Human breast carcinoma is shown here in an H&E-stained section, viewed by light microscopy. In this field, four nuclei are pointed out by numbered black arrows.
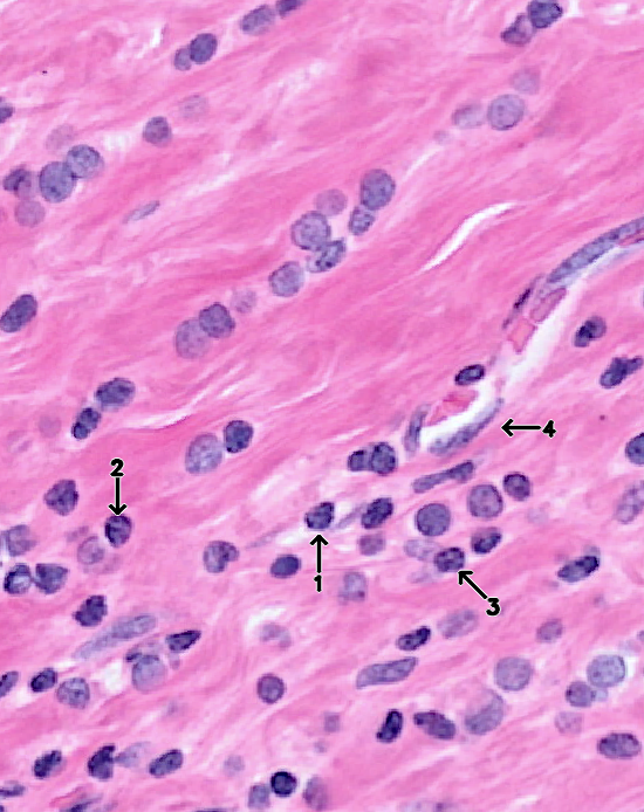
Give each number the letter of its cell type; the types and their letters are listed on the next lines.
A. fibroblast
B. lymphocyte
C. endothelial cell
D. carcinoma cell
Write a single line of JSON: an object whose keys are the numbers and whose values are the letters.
{"1": "B", "2": "B", "3": "B", "4": "C"}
